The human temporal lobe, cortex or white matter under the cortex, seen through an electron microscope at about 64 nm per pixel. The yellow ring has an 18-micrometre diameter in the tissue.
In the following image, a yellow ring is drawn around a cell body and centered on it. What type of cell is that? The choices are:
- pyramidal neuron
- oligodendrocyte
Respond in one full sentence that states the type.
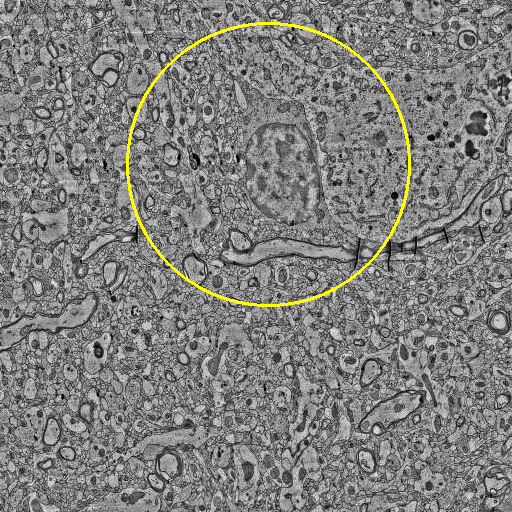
The cell at the center of the yellow ring in the image is an oligodendrocyte.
